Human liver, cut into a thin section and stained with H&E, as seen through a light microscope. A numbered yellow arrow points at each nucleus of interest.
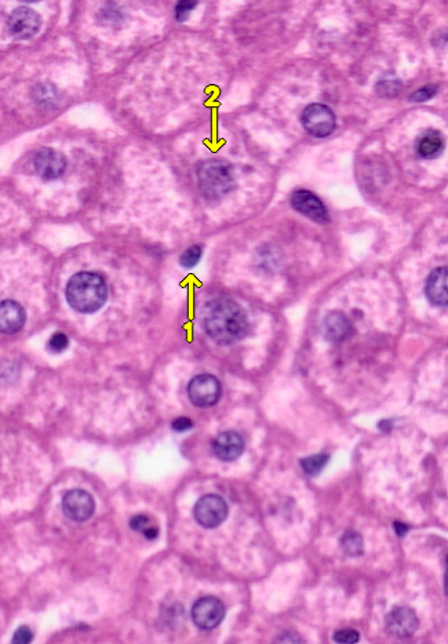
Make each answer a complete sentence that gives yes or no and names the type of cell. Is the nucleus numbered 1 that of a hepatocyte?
No, the correct answer for cell 1 is a lymphocyte, not a hepatocyte.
